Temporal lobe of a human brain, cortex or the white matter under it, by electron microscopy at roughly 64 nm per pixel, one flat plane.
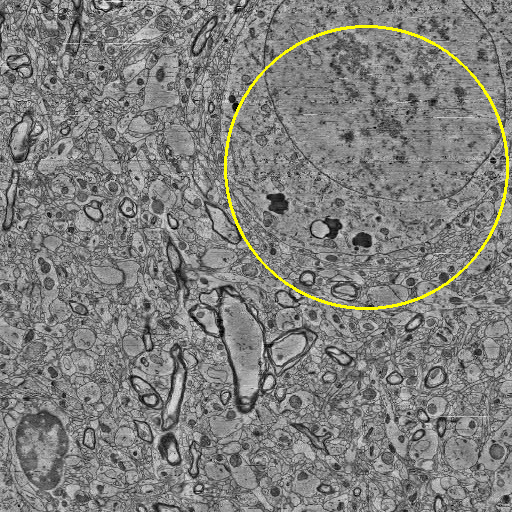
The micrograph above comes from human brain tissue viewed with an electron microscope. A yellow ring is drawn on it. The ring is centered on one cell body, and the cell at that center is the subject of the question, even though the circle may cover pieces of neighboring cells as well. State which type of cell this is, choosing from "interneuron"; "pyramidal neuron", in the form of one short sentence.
The cell the ring is centered on is a pyramidal neuron.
